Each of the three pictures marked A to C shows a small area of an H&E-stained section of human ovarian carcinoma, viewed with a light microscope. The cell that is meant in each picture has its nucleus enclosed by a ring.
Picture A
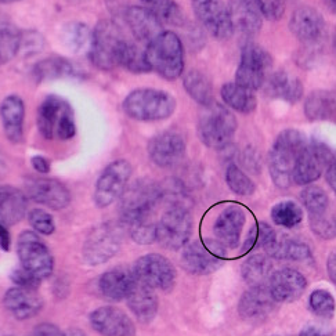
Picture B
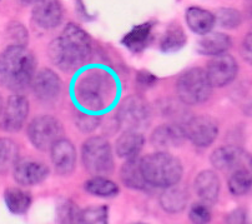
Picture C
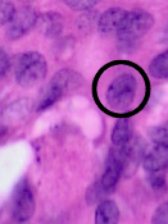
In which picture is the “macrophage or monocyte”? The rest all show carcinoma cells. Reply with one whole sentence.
It is picture A that shows the “macrophage or monocyte”.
